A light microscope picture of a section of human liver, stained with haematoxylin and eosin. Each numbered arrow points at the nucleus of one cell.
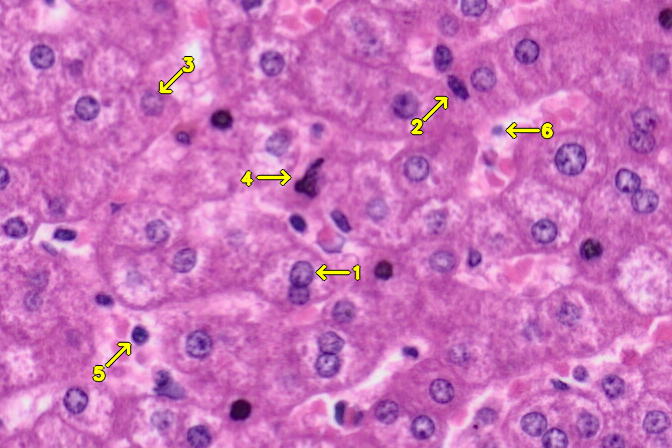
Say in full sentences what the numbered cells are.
Cell 1 is a hepatocyte, cell 2 is a fibroblast or stellate cell, cell 3 is a hepatocyte, cell 4 is a Kupffer cell, cell 5 is a lymphocyte and cell 6 is a lymphocyte.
